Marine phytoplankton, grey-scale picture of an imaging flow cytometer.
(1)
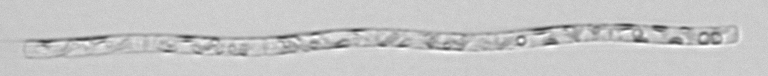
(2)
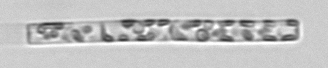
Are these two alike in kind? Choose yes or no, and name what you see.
Yes. Leptocylindrus.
